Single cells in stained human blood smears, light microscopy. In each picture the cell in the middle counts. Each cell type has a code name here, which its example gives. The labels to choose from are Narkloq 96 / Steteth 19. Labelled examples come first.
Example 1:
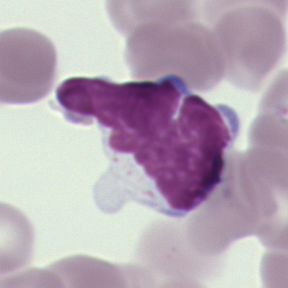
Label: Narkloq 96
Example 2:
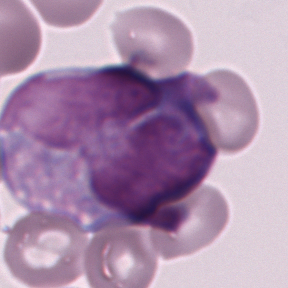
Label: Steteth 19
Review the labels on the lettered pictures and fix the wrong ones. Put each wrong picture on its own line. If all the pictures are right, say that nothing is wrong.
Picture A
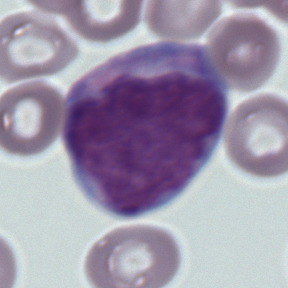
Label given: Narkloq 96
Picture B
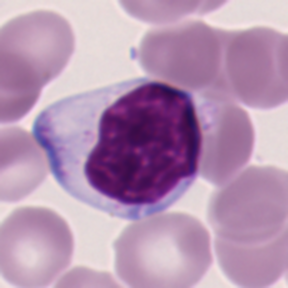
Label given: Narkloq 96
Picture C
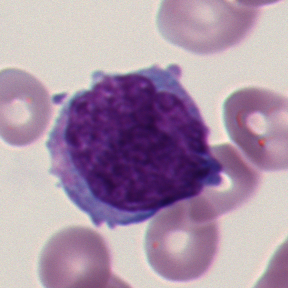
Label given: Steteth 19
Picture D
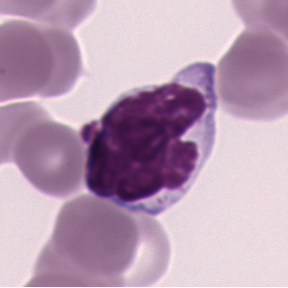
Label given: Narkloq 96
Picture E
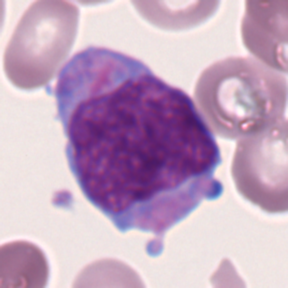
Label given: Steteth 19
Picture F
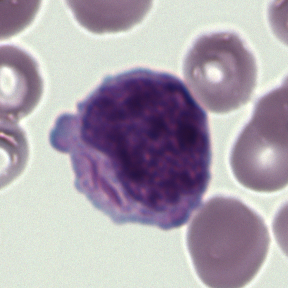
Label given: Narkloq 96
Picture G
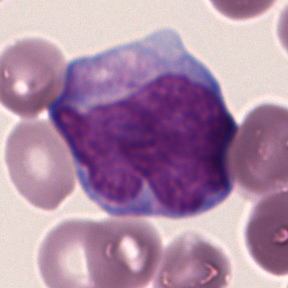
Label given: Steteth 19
A: not Narkloq 96 but Steteth 19
F: not Narkloq 96 but Steteth 19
